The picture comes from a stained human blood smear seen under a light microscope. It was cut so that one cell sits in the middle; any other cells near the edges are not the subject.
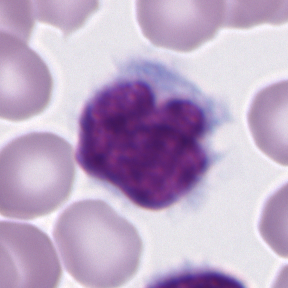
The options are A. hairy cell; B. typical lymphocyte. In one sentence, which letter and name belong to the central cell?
Option A, which names the central cell as a hairy cell, is correct.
